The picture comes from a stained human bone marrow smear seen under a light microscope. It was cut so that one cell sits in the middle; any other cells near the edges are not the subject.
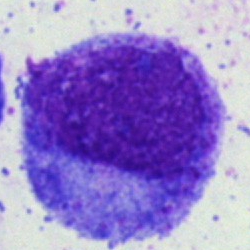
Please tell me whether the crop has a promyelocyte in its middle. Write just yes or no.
yes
